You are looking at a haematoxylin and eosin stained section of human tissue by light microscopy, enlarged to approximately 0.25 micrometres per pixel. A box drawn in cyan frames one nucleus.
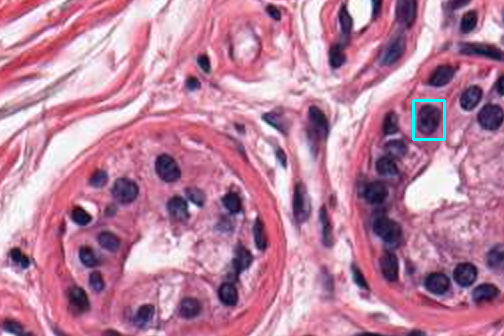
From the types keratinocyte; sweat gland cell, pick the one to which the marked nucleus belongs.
sweat gland cell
